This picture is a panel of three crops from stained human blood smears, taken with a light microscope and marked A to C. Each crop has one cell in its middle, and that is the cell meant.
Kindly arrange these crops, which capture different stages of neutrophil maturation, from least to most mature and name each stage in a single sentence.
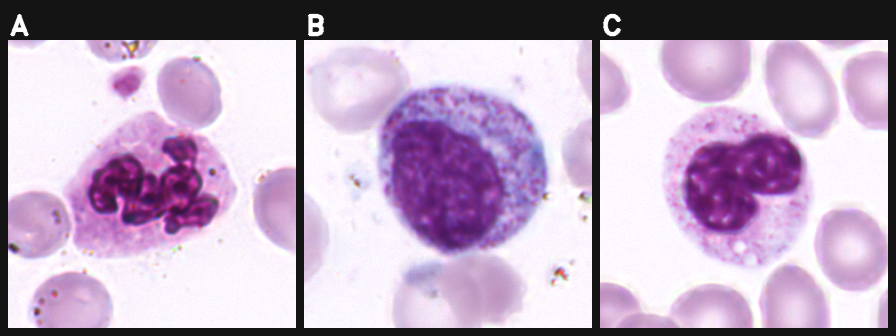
The order of the crops by rising maturity is crop B (a promyelocyte), crop C (a band neutrophil) and crop A (a segmented neutrophil).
